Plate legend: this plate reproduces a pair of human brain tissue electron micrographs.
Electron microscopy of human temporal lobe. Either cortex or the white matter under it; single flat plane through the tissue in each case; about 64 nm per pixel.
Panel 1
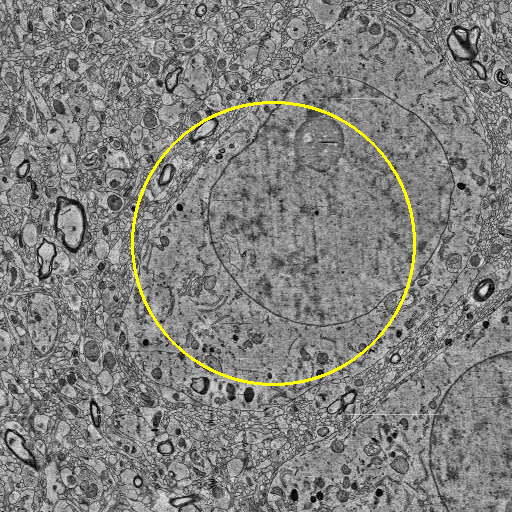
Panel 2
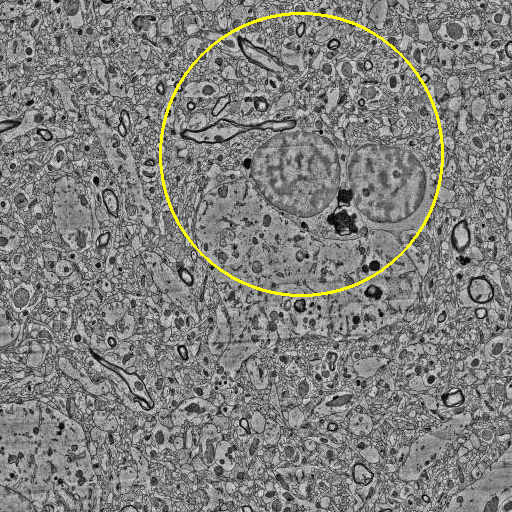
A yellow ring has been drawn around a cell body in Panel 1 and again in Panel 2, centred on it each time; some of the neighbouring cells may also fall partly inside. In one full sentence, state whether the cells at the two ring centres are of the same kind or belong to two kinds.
The ring-centred cells of Panel 1 and Panel 2 belong to two kinds.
